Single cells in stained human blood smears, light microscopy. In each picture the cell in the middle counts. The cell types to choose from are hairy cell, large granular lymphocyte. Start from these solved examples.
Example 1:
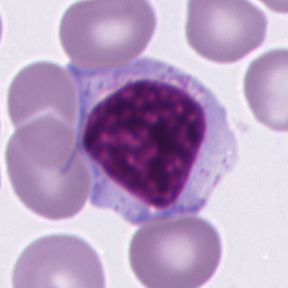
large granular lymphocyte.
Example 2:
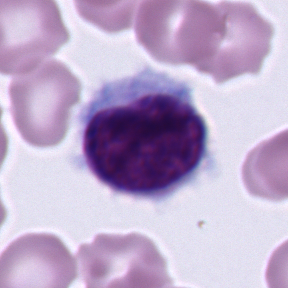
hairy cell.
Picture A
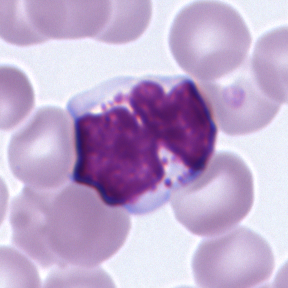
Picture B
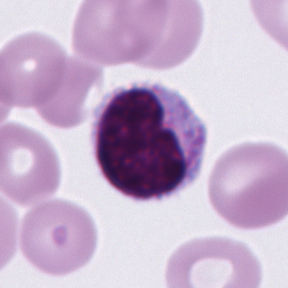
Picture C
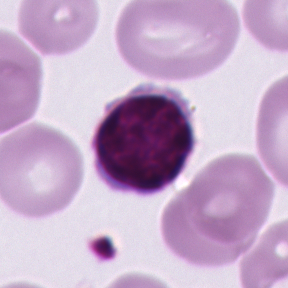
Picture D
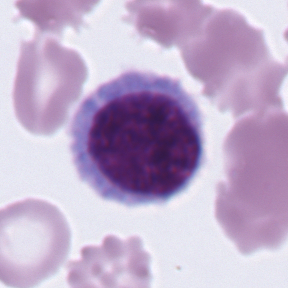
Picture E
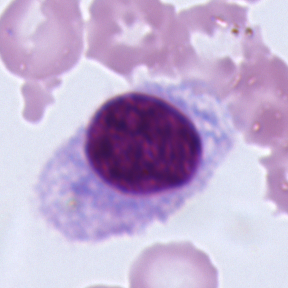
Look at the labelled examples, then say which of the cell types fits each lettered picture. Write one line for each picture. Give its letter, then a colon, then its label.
A: large granular lymphocyte.
B: large granular lymphocyte.
C: large granular lymphocyte.
D: hairy cell.
E: hairy cell.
